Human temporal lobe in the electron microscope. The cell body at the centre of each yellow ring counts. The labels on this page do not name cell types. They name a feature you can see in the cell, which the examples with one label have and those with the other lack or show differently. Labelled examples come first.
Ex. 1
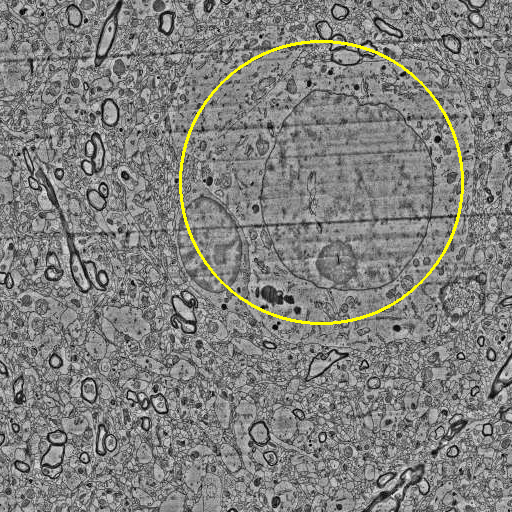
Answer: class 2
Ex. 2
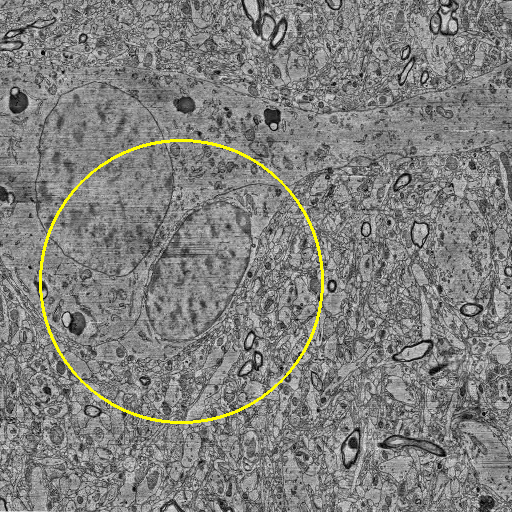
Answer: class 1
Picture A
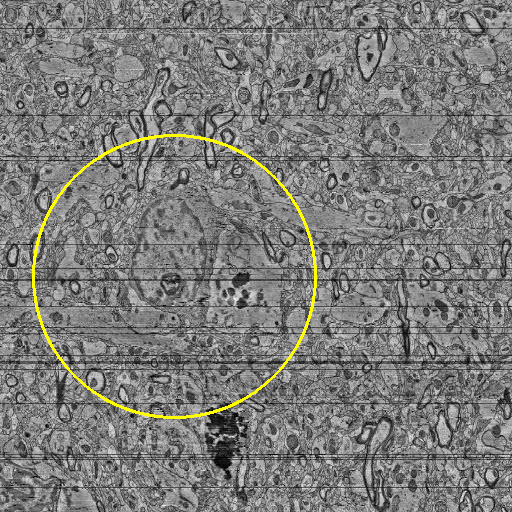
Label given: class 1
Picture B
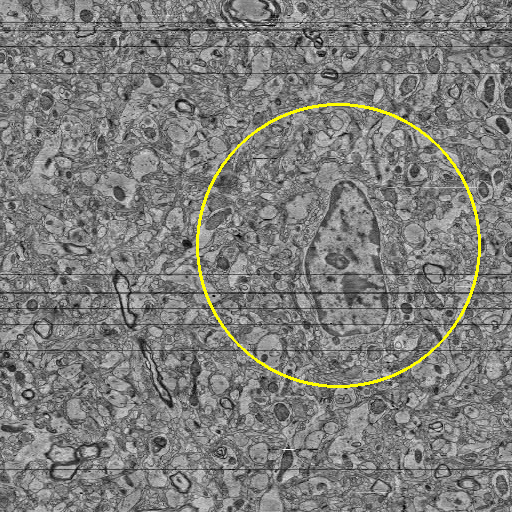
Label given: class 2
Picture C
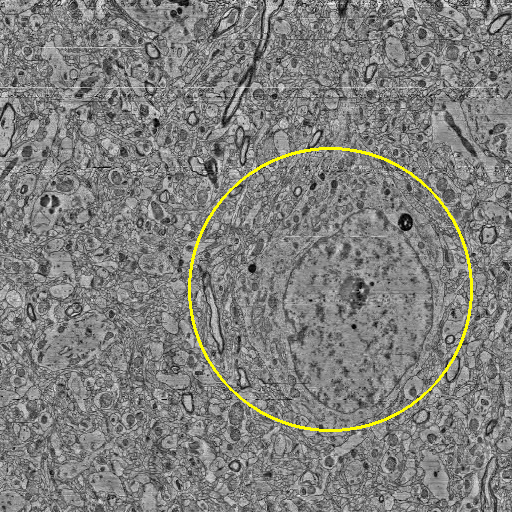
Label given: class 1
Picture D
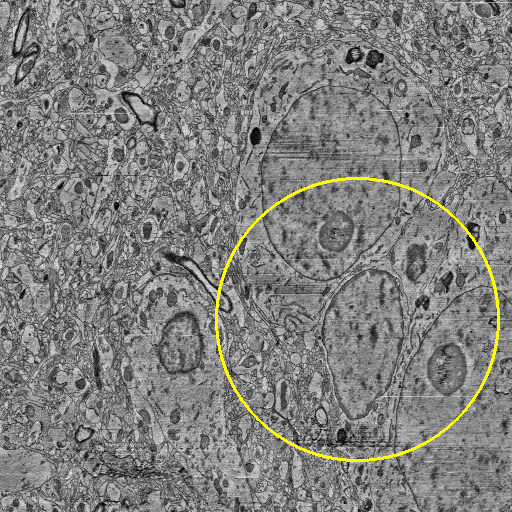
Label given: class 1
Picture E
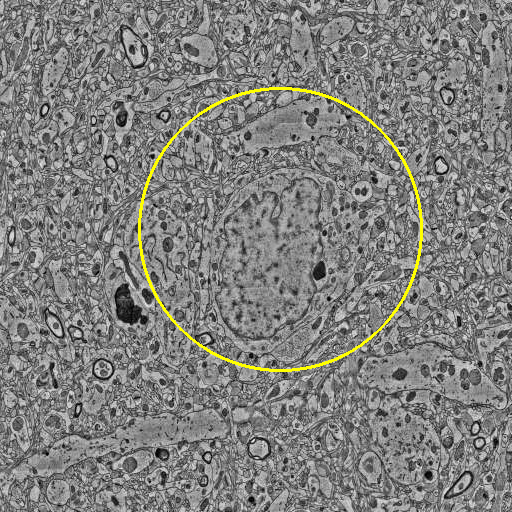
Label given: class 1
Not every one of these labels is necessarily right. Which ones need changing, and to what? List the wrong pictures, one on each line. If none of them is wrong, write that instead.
A: class 2, not class 1
C: class 2, not class 1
